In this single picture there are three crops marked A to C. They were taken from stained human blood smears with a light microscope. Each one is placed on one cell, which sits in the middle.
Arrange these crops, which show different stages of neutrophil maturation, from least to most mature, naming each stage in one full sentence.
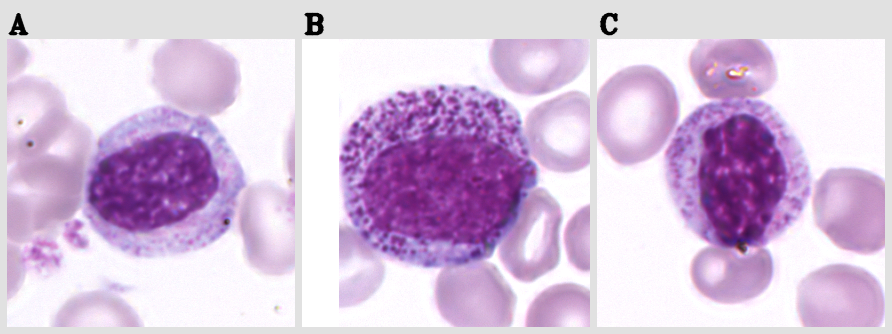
In order of increasing maturity, the crops run crop B (a promyelocyte), crop A (a myelocyte) and crop C (a metamyelocyte).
